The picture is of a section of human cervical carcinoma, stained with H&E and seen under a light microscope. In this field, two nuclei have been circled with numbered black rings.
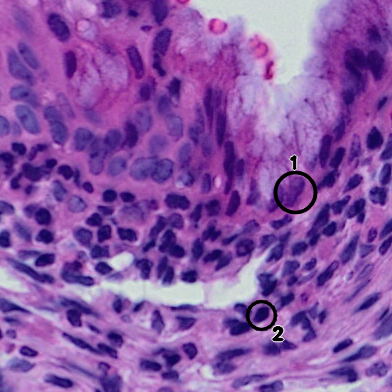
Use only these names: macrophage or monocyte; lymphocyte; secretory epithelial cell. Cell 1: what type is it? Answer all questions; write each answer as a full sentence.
It is as a secretory epithelial cell that the cell numbered 1 is identified.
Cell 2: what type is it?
The cell indicated with the number 2 is classed as a lymphocyte.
